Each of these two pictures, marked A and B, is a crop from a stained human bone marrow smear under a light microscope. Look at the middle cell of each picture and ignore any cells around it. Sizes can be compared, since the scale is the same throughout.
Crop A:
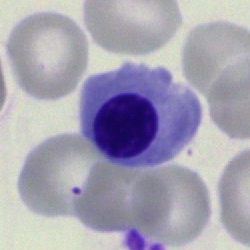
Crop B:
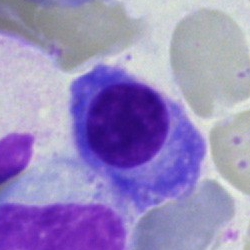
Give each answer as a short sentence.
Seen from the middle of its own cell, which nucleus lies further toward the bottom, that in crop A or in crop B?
It is the nucleus in crop A that lies further toward the bottom of its cell.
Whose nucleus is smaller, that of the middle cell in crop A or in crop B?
It is the nucleus in crop A; the one in crop B has about 1.5 times its area.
